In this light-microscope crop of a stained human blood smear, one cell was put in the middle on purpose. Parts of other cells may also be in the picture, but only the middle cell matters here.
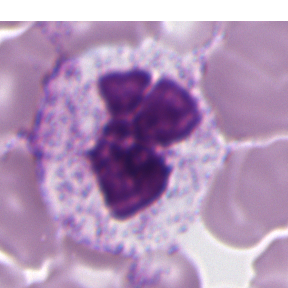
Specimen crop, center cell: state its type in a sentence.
The cell at the central position in this crop is a neutrophil.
